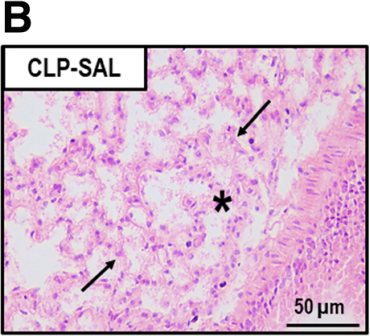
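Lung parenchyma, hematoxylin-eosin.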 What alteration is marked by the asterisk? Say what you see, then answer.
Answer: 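Around the asterisk the air spaces are nearly gone. The tissue there is dense and pink, packed with nuclei.
Hence: alveolar collapse.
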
